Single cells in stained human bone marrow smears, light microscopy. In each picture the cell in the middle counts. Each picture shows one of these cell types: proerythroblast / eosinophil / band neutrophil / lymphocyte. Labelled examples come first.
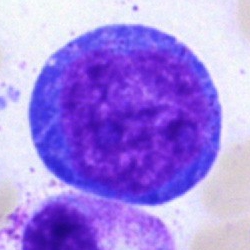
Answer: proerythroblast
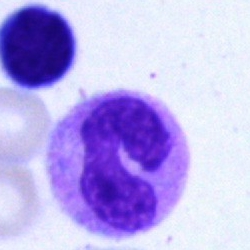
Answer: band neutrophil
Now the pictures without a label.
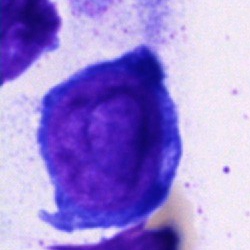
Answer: proerythroblast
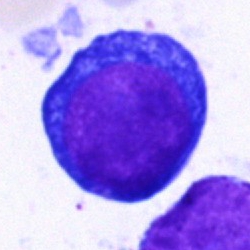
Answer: proerythroblast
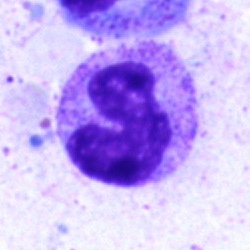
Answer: band neutrophil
